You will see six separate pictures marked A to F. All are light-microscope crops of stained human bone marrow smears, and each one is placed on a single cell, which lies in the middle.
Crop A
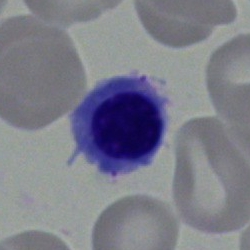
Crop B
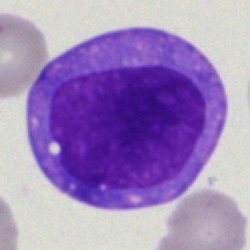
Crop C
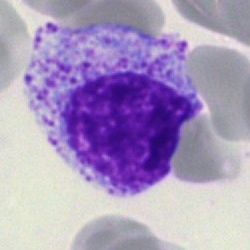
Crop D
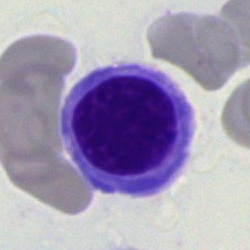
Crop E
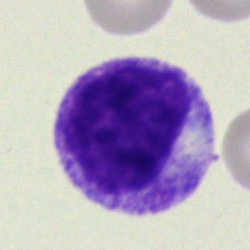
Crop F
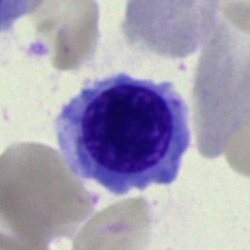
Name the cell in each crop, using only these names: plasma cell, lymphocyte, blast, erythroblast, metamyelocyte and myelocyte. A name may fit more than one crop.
A: erythroblast
B: blast
C: myelocyte
D: erythroblast
E: myelocyte
F: erythroblast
